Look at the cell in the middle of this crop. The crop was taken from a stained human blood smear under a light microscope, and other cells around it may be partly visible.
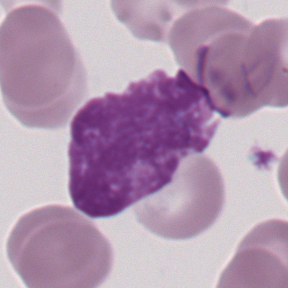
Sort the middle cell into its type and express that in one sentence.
As for the cell in the middle, it is a smudge cell.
